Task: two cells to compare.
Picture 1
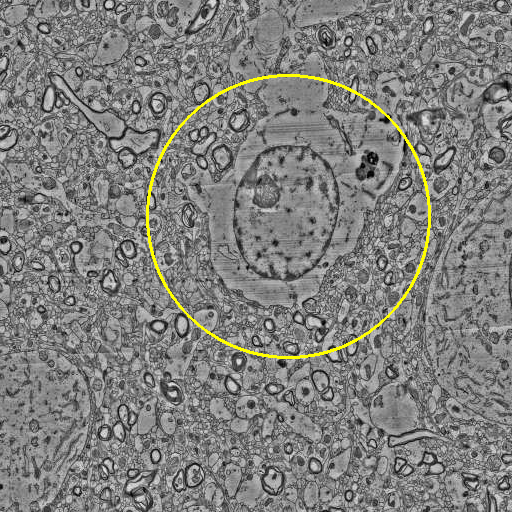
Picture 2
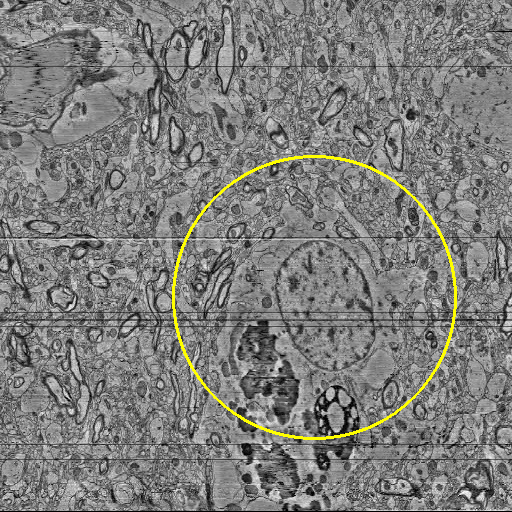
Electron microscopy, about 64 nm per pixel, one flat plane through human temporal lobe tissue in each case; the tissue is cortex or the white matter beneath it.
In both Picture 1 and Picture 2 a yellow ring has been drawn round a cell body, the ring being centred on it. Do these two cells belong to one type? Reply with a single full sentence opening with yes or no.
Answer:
Yes, the two cells at the ring centres in Picture 1 and Picture 2 share one type.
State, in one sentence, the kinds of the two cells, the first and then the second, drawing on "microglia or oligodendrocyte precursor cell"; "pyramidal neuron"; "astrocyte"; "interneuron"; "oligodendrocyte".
Each of the two rings surrounds an astrocyte.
